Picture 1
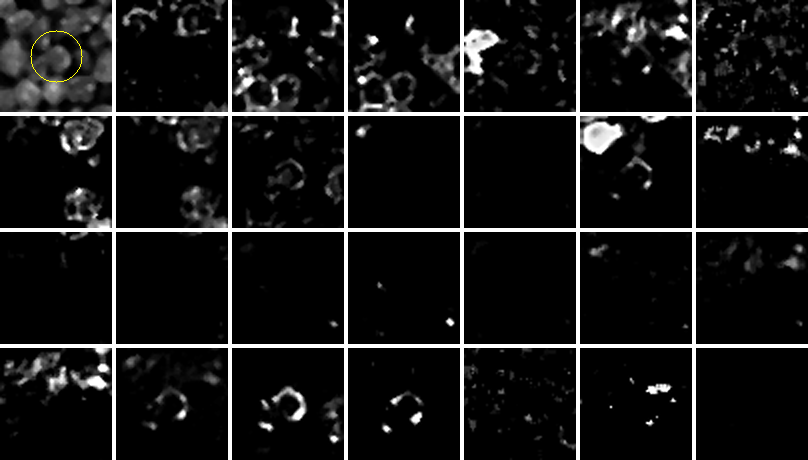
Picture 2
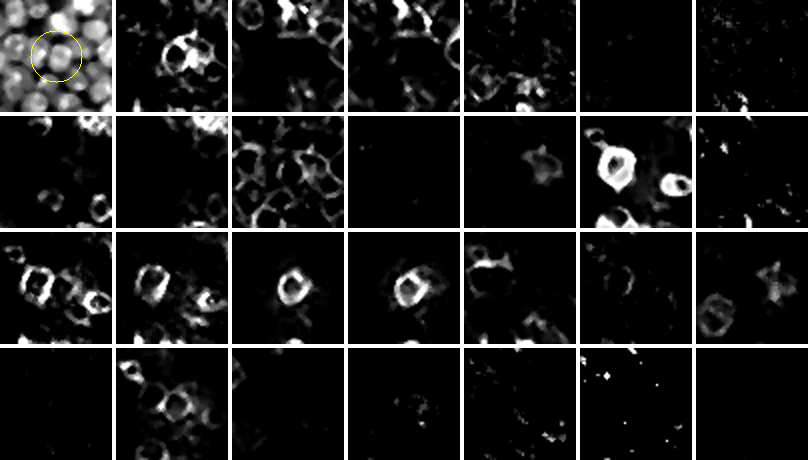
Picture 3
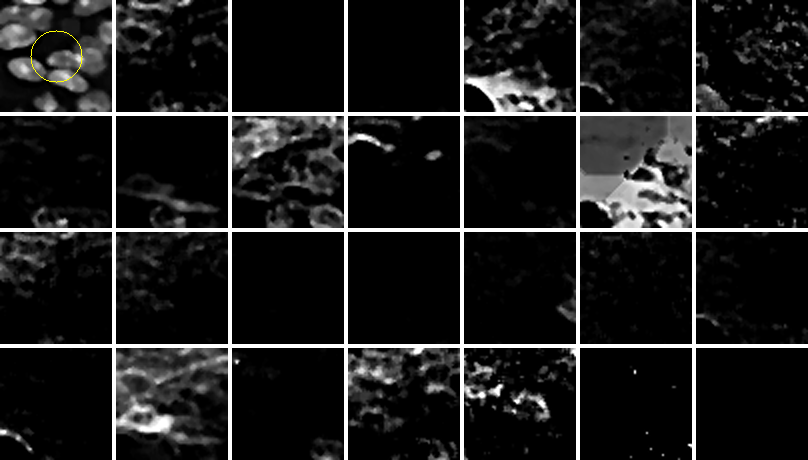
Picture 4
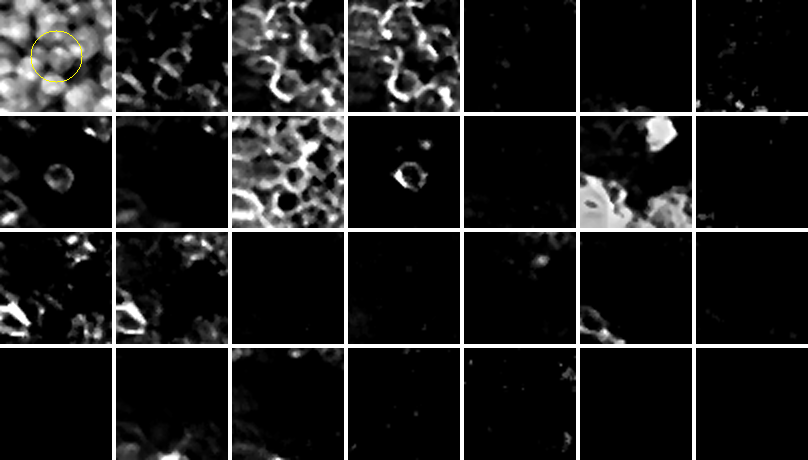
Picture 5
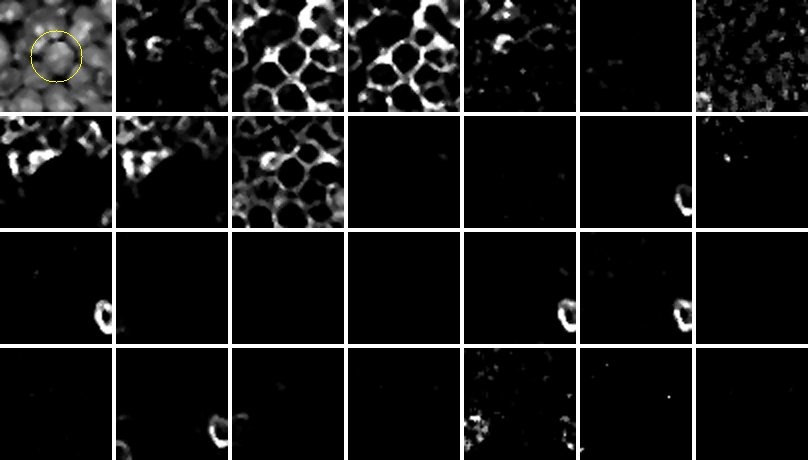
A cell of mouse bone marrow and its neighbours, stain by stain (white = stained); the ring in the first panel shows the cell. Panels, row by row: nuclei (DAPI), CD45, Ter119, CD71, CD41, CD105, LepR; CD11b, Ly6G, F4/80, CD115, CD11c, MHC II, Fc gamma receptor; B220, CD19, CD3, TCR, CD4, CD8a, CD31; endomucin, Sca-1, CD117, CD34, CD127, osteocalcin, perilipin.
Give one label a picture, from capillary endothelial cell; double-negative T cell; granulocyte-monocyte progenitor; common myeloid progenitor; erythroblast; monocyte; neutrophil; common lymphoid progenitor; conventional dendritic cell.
Picture 1: common myeloid progenitor
Picture 2: double-negative T cell
Picture 3: common lymphoid progenitor
Picture 4: monocyte
Picture 5: erythroblast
